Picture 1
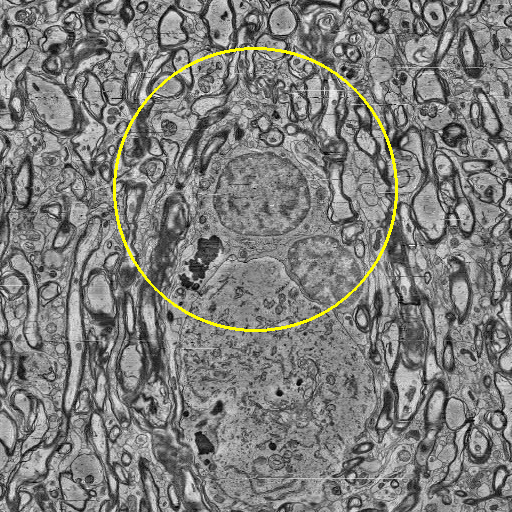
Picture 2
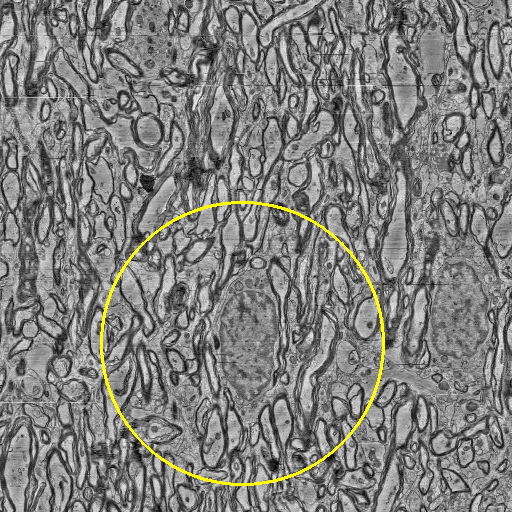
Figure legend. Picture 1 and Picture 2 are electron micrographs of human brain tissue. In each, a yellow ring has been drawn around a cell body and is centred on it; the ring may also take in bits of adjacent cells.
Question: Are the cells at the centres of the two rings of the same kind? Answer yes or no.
yes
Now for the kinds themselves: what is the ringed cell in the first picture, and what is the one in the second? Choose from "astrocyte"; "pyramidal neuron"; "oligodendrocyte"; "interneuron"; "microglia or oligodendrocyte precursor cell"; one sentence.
In each of the two pictures, the ringed cell is an oligodendrocyte.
